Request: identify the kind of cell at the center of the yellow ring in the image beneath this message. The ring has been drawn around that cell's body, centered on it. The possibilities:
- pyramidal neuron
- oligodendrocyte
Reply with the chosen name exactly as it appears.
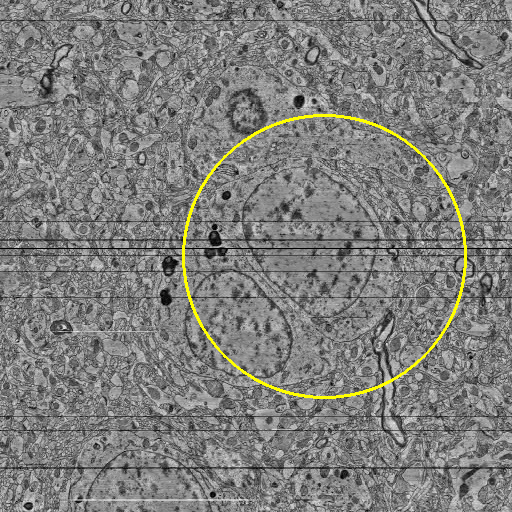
pyramidal neuron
